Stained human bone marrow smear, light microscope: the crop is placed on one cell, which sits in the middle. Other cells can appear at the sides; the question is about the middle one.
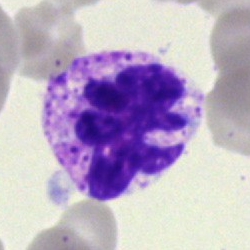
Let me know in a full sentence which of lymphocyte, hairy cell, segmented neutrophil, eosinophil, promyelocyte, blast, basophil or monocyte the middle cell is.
The cell sitting right in the middle is a basophil.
